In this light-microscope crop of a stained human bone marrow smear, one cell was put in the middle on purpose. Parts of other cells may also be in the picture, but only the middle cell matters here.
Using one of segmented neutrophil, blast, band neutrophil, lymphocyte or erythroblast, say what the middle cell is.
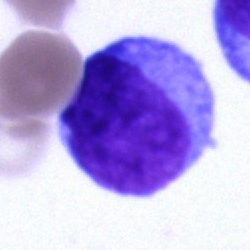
blast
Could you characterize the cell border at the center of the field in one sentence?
A smooth outline is absent here, replaced by ragged stretches or projections.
